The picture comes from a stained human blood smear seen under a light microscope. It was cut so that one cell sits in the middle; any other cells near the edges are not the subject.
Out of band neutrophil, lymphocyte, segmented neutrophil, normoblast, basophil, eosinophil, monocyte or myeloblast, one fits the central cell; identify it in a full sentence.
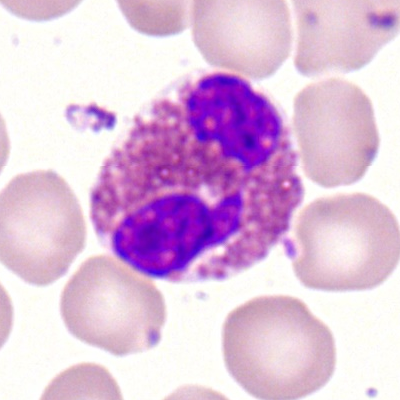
By type, the central cell of the crop is an eosinophil.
